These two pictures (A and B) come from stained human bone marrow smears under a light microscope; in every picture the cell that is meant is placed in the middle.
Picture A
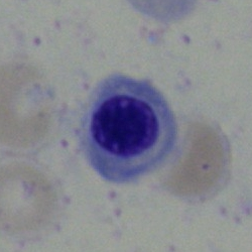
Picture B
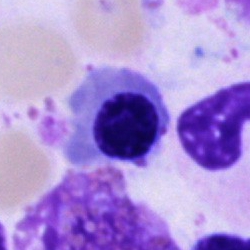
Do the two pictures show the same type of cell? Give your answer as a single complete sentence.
Yes; the cells in both pictures are erythroblasts.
